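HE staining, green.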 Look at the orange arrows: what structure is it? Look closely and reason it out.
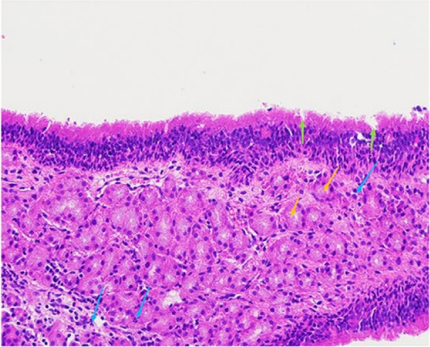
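Pale pink rounded acinar clusters fill the tissue below the epithelium. The arrows point into these clusters.
Conclusion: glands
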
